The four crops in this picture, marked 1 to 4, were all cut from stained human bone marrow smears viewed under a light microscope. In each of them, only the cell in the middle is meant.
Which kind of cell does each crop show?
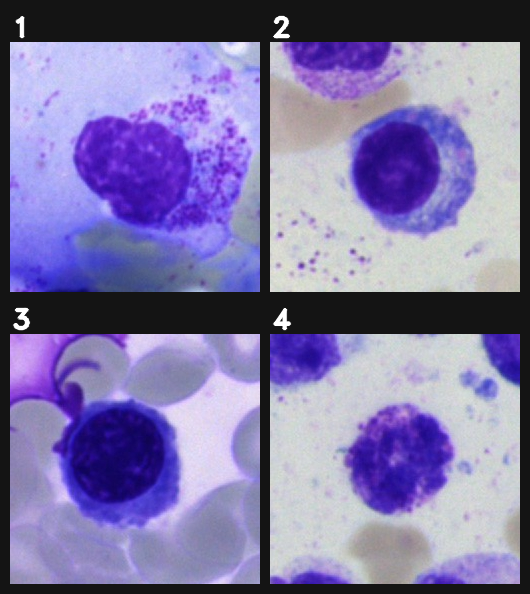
1: myelocyte
2: plasma cell
3: erythroblast
4: basophil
